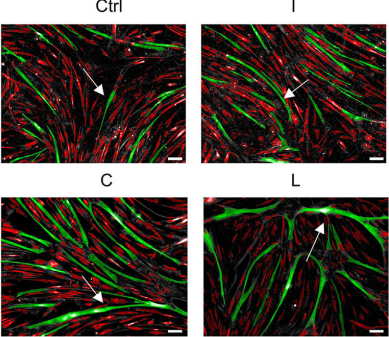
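Four fields of a dense cultured muscle preparation, seen in phase contrast with a coloured overlay. Many short, spindle-shaped cells are overlaid in red and lie closely packed, largely aligned in parallel streams. Among them run much longer, thicker, tube-like cells overlaid in green, stretching across large parts of the field and sometimes branching or tapering at their ends. White arrows point to examples of these long green tubes. In one field the green tubes look broader and the red spindle cells fewer.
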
